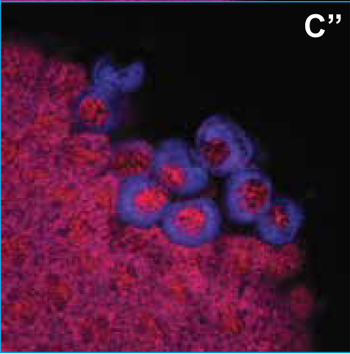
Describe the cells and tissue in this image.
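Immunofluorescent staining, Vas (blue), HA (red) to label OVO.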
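A small group of round pole cells sits at the end of the embryo, partly outside its surface. Each cell has a bright red nucleus surrounded by a thick blue perinuclear ring, while the adjacent embryo surface shows finely granular red staining.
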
